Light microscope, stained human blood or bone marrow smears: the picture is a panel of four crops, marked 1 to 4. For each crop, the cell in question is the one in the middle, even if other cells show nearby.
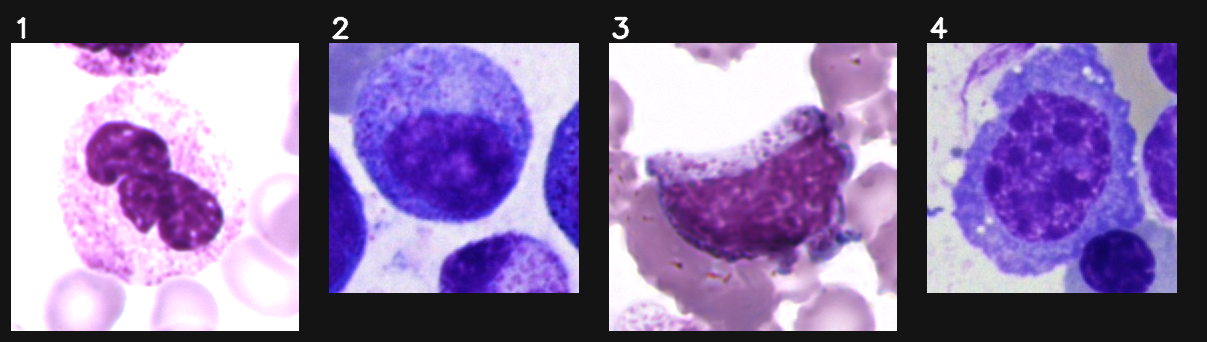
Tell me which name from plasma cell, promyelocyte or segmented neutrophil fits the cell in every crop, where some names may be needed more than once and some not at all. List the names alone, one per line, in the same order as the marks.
segmented neutrophil
promyelocyte
promyelocyte
plasma cell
